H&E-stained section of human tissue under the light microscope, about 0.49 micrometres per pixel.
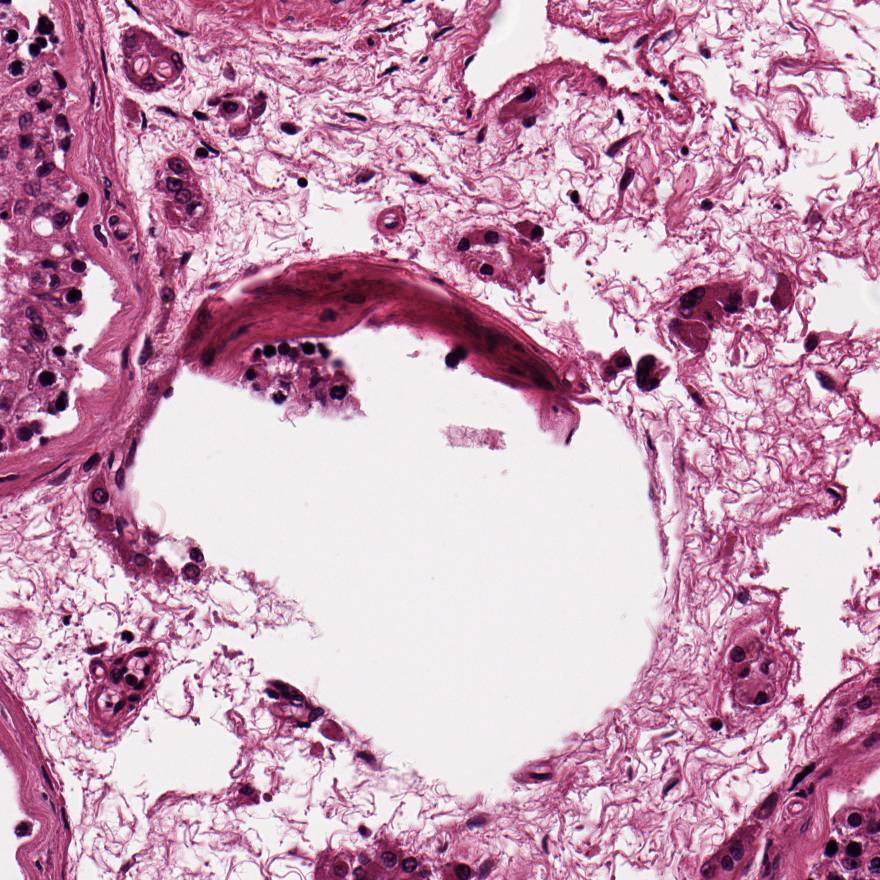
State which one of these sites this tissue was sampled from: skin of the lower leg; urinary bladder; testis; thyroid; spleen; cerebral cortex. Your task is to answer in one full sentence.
Tissue for this slide was taken from the testis.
